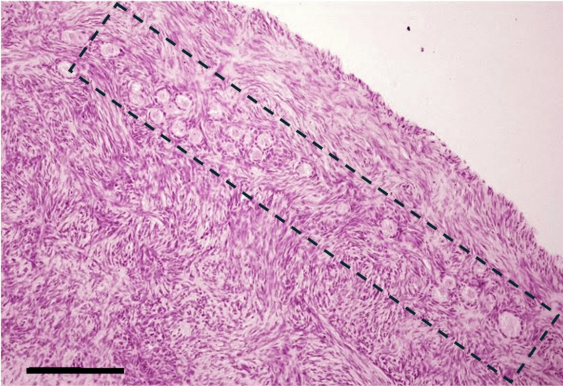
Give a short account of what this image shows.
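This low-power view shows the outer region of the ovarian cortex with its free surface at the upper right. Most of the tissue is dense stroma made of spindle-shaped cells arranged in swirling, interlacing bundles. A little beneath the surface runs a band of small, pale, round structures, which are primordial follicles. They lie singly or in small clusters along a line roughly parallel to the surface.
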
